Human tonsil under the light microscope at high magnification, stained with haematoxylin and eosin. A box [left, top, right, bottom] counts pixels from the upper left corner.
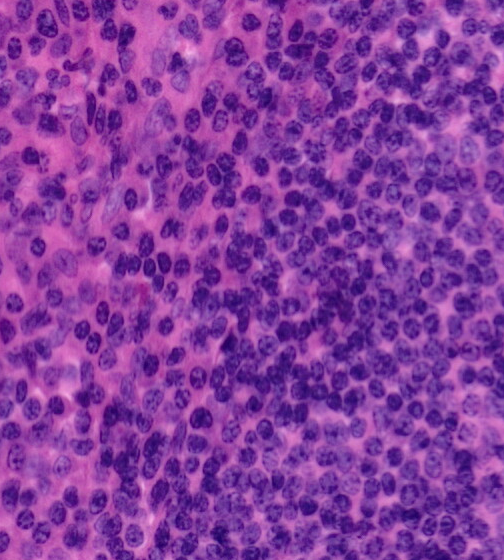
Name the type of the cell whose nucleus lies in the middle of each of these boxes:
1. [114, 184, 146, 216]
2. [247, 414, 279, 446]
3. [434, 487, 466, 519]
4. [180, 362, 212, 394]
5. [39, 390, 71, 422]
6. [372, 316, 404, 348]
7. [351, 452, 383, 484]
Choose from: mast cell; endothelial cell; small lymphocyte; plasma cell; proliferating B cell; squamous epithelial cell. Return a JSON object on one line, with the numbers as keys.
{"1": "plasma cell", "2": "small lymphocyte", "3": "small lymphocyte", "4": "plasma cell", "5": "plasma cell", "6": "small lymphocyte", "7": "small lymphocyte"}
